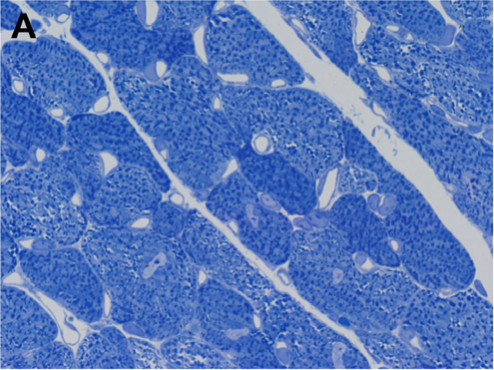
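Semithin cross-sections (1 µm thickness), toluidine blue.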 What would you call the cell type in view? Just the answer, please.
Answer: cardiomyocytes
